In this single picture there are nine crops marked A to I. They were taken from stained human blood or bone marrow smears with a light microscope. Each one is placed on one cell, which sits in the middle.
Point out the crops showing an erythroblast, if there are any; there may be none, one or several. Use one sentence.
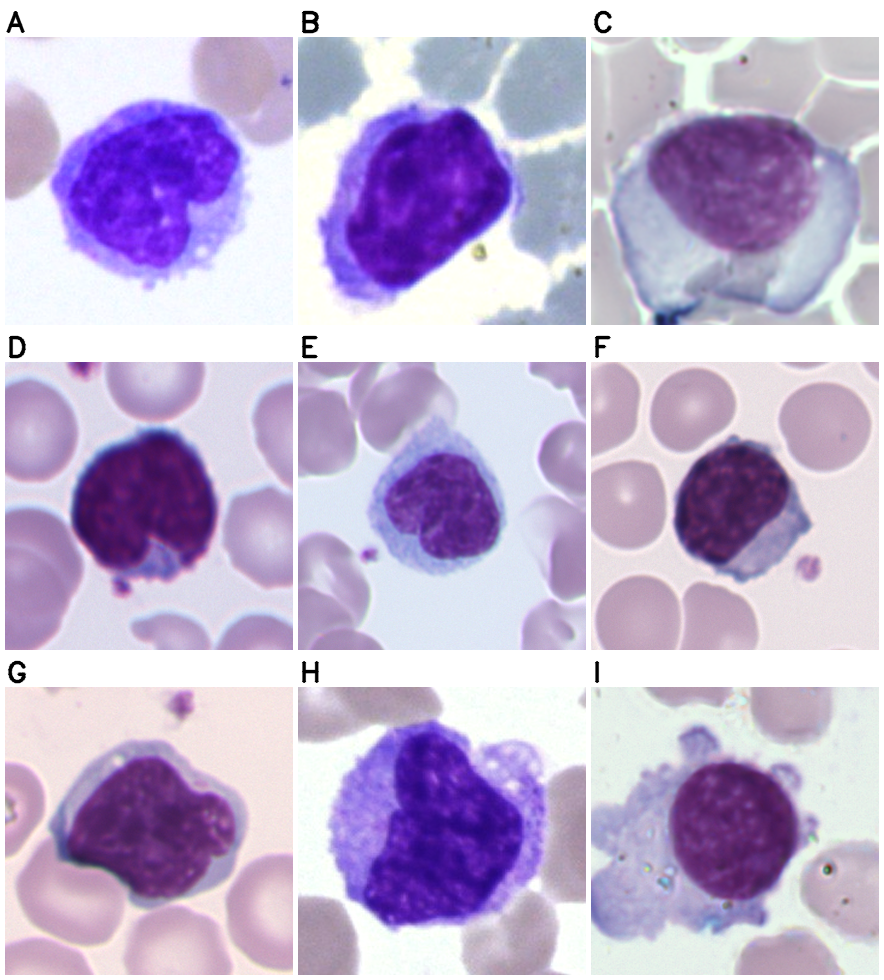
Every one of these crops lacks an erythroblast.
